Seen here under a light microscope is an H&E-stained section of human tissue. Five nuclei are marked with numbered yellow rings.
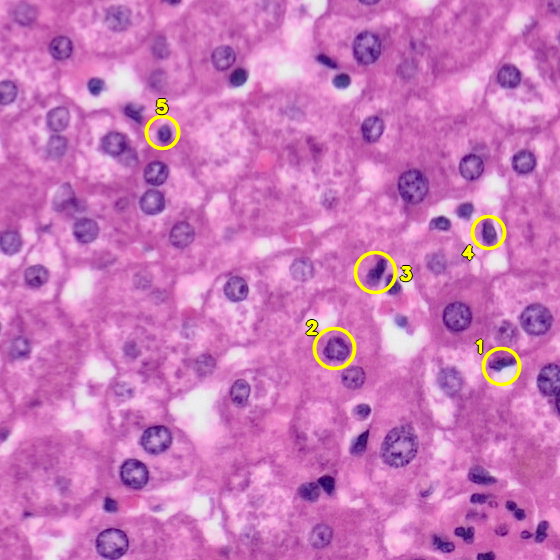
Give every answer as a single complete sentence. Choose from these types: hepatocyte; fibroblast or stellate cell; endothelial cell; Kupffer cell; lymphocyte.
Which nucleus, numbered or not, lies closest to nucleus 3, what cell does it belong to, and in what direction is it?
Lying below and to the right of nucleus 3, the nearest nucleus is that of a lymphocyte.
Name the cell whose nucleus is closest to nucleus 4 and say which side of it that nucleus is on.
The nearest nucleus is that of a lymphocyte and lies above and to the left of nucleus 4.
